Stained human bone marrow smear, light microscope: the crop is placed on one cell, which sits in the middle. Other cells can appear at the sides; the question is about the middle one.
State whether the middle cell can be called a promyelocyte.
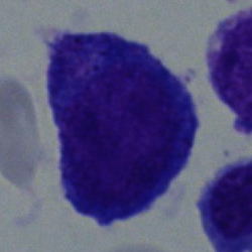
yes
